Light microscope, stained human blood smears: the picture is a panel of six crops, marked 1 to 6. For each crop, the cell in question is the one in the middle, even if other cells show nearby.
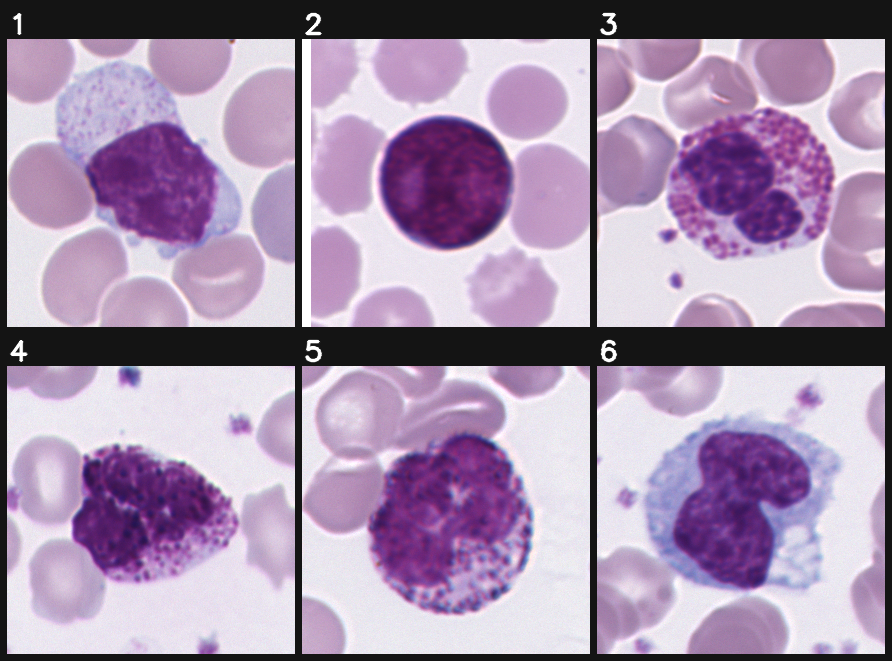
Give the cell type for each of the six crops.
1: large granular lymphocyte
2: blast
3: eosinophil
4: basophil
5: basophil
6: monocyte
